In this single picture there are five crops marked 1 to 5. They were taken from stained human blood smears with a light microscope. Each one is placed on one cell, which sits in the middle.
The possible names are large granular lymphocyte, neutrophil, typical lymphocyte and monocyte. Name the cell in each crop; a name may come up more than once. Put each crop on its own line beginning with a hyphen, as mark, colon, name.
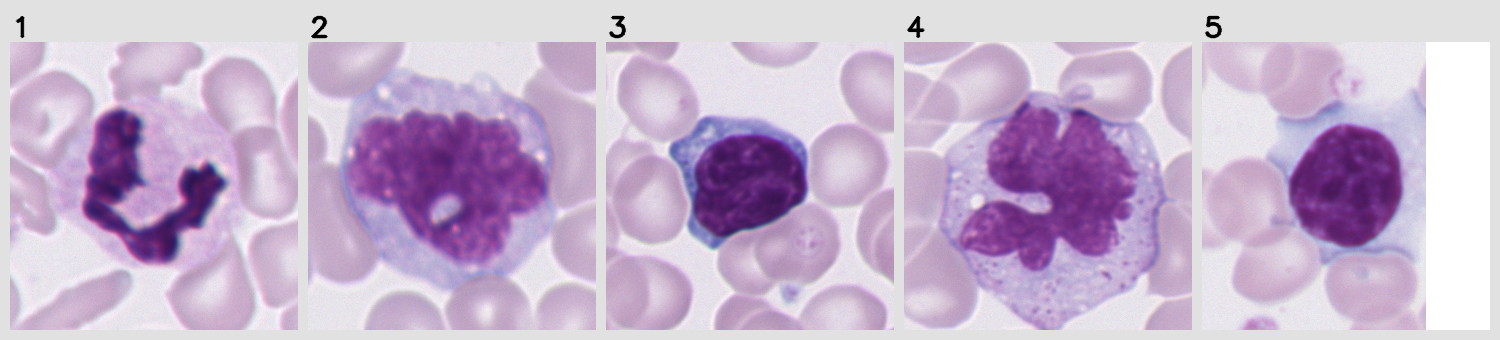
- 1: neutrophil
- 2: monocyte
- 3: typical lymphocyte
- 4: monocyte
- 5: typical lymphocyte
